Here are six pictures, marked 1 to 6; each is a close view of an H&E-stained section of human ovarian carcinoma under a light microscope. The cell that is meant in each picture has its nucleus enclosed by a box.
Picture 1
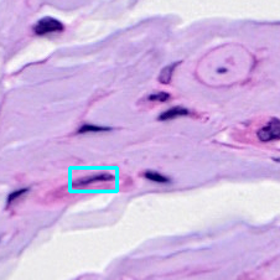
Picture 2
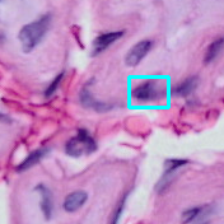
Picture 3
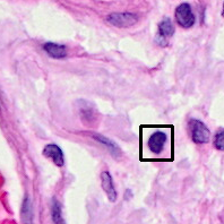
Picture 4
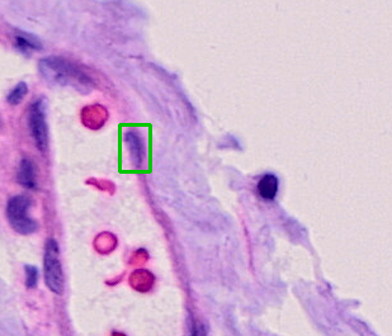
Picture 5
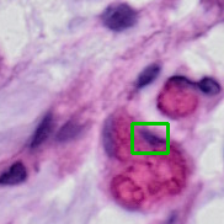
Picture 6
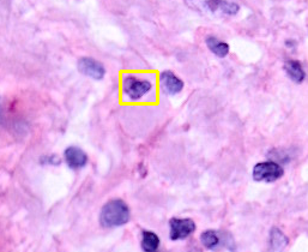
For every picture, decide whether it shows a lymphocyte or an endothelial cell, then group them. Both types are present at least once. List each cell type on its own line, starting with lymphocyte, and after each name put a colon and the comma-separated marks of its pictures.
lymphocyte: 3, 6
endothelial cell: 1, 2, 4, 5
